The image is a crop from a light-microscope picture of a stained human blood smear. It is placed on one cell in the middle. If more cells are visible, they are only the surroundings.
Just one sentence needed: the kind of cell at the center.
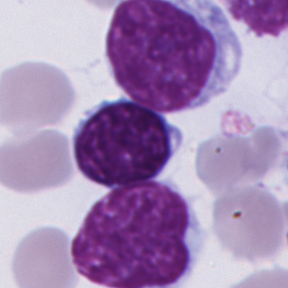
The middle of this crop holds a myeloblast.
